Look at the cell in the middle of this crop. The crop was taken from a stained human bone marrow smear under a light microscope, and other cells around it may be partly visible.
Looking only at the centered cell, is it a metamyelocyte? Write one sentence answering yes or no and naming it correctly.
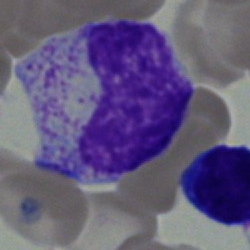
Yes, the middle cell in this crop is a metamyelocyte.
